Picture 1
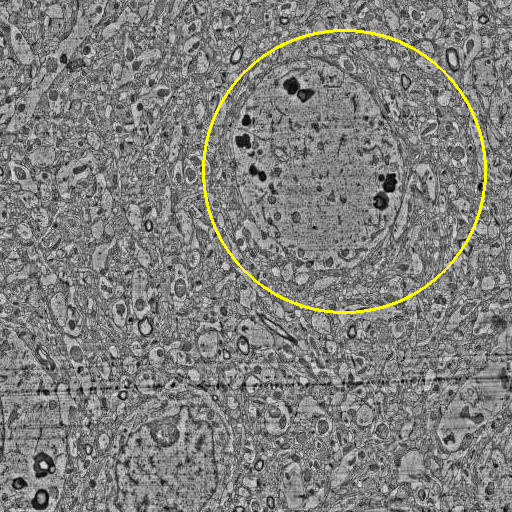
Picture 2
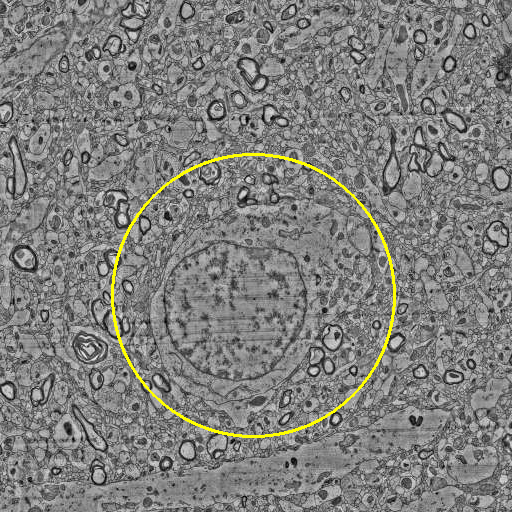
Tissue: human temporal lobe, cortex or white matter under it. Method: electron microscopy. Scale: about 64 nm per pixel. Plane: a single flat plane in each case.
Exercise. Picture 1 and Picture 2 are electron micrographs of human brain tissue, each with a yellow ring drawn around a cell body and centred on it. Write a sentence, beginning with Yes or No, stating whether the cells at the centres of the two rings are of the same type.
Yes, the cells at the centres of both rings are of the same type.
